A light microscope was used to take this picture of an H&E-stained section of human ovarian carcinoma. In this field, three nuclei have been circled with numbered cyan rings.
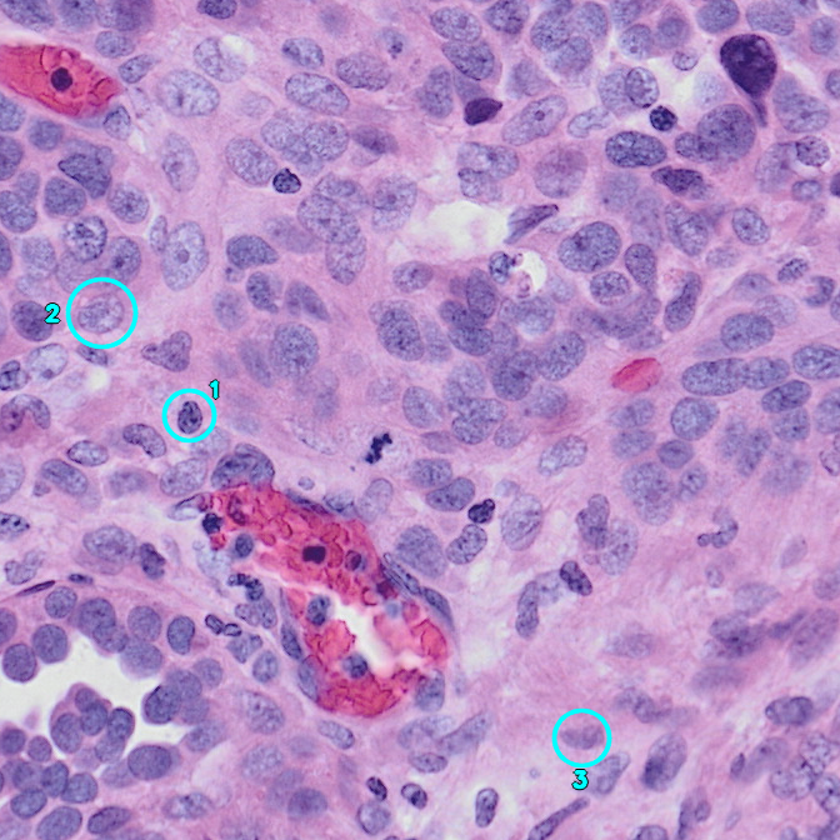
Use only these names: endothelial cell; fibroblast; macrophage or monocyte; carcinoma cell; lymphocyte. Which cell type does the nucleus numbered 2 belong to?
carcinoma cell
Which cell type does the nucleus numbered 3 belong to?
fibroblast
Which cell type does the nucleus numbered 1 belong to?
lymphocyte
